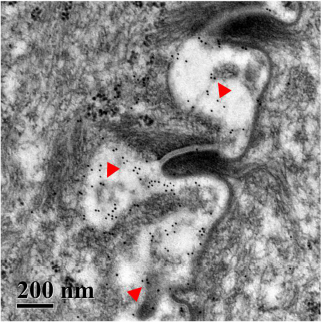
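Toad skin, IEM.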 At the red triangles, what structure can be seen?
Intercellular spaces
